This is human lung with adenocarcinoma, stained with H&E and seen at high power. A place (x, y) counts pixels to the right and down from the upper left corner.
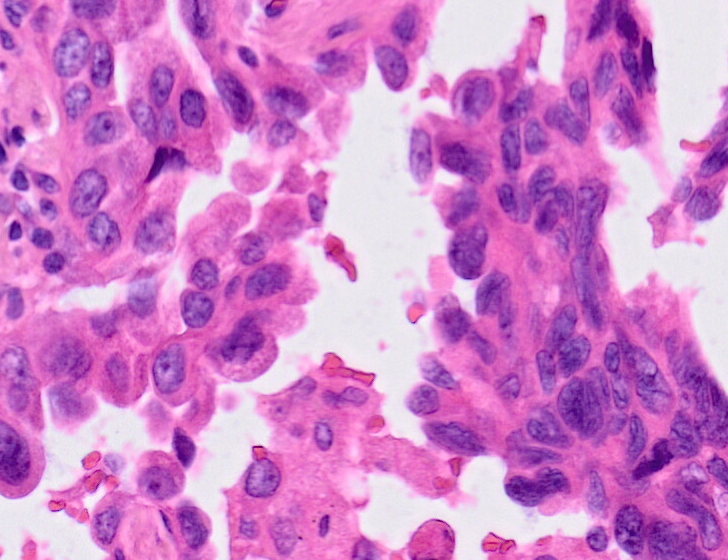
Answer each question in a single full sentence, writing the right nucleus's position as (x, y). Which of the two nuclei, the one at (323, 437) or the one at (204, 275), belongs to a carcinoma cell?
It is at (204, 275) that the nucleus of a carcinoma cell is found.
